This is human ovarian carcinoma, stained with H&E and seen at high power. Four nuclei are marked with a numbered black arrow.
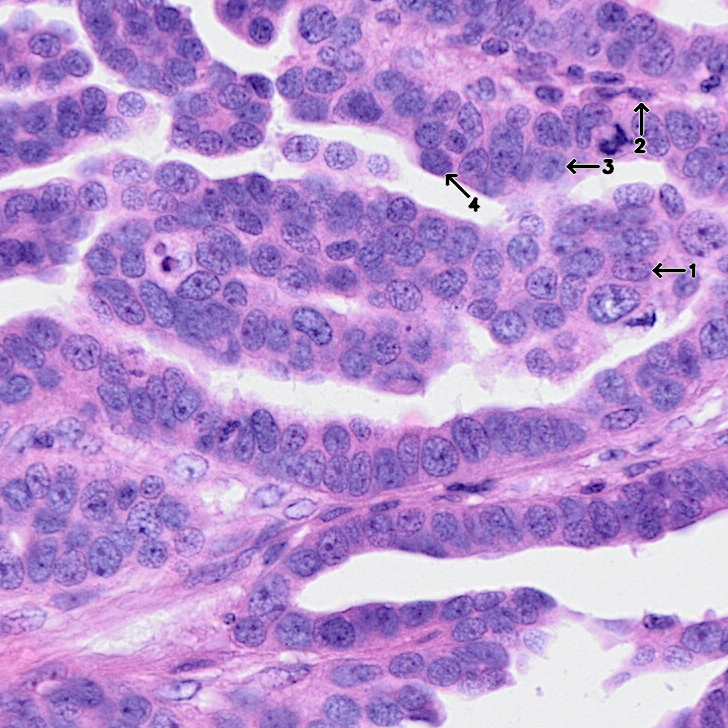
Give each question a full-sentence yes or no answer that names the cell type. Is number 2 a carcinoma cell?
No, the one with number 2 is a macrophage or monocyte, not a carcinoma cell.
